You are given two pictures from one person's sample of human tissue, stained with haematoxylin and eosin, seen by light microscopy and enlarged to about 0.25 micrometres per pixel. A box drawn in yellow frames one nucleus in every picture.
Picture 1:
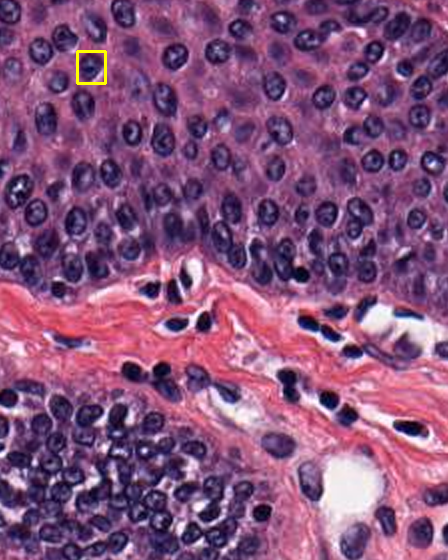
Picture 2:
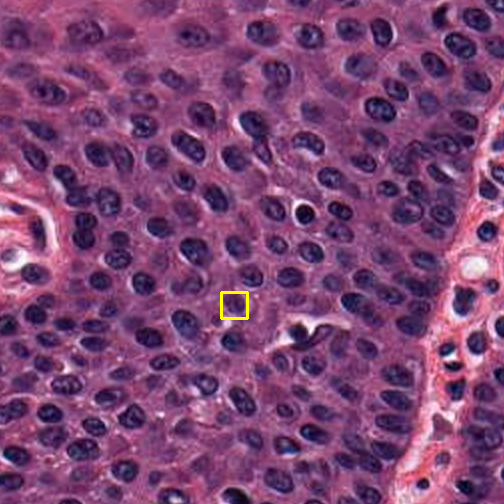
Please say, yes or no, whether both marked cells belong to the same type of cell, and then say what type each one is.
Yes, both are squamous epithelial cells.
